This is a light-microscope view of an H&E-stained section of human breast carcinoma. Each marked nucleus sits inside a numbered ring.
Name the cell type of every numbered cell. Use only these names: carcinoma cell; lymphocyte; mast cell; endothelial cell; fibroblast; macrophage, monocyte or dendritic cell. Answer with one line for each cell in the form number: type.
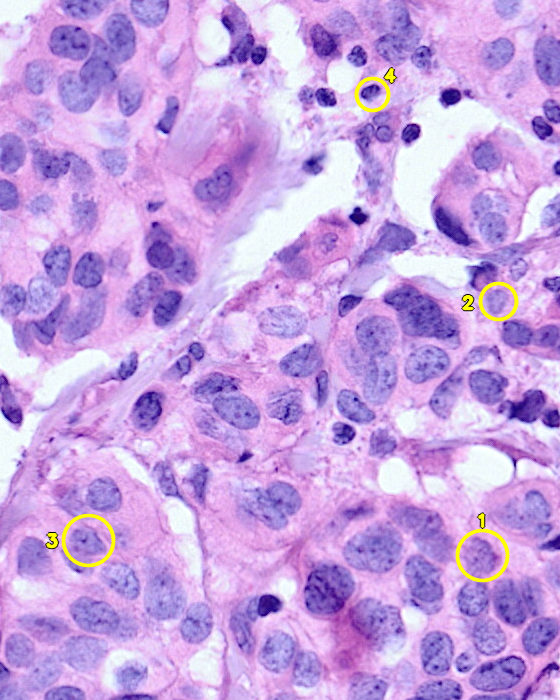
1: carcinoma cell
2: carcinoma cell
3: carcinoma cell
4: lymphocyte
